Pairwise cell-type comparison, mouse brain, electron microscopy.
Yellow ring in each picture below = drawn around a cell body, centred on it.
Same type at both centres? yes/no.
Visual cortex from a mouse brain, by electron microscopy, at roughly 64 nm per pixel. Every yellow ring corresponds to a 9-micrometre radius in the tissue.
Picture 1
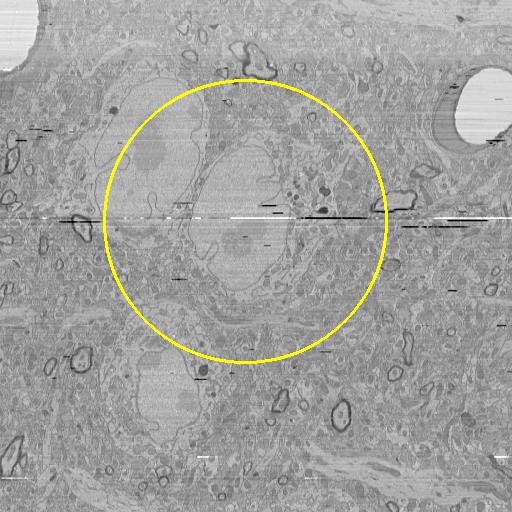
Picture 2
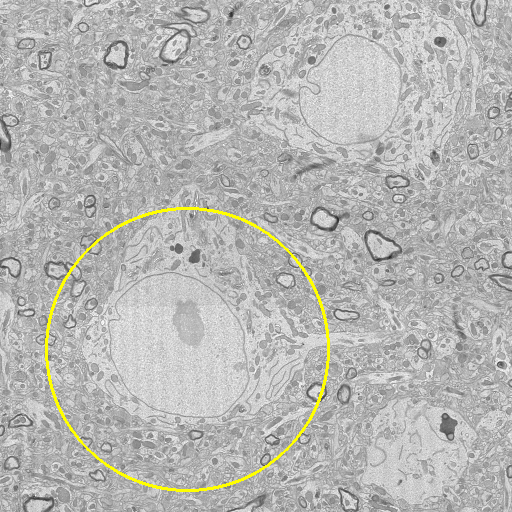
no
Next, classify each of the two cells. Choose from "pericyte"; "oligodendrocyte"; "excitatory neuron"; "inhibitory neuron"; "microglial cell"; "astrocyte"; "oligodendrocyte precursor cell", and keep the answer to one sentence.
In the first picture it is an inhibitory neuron; in the second it is an excitatory neuron.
